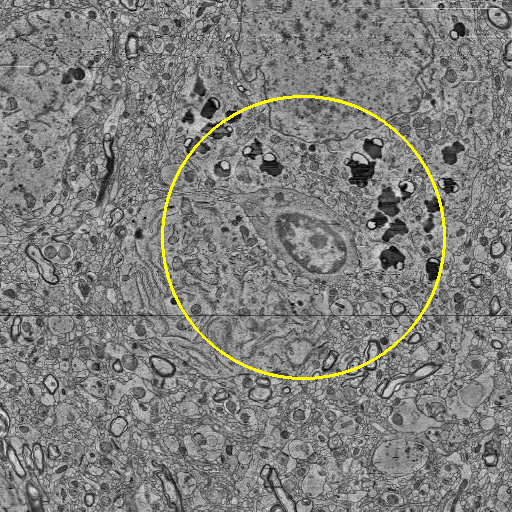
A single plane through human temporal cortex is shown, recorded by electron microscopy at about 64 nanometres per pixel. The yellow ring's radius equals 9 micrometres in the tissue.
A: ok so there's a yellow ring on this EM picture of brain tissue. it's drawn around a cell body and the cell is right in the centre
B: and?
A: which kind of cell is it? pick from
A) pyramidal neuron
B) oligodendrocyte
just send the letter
B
